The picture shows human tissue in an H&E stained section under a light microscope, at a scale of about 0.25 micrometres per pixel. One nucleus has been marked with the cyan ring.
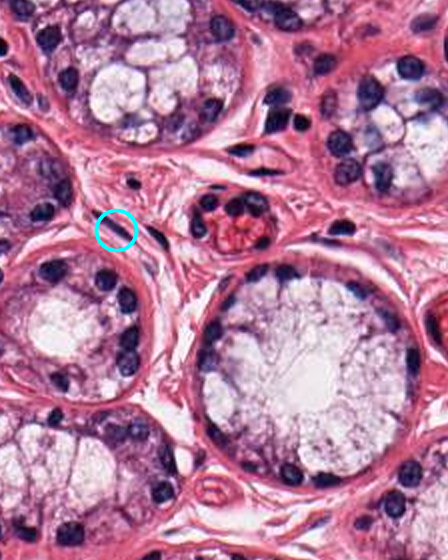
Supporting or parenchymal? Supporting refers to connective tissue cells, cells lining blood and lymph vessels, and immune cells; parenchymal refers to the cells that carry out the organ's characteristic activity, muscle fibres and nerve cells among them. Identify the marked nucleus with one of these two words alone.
supporting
